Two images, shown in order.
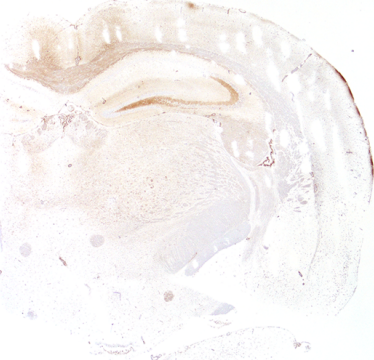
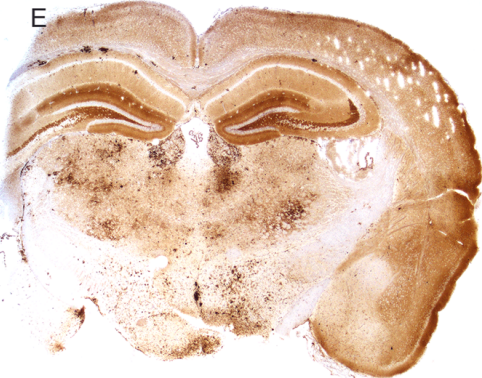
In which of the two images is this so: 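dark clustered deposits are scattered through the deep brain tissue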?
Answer: the second image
